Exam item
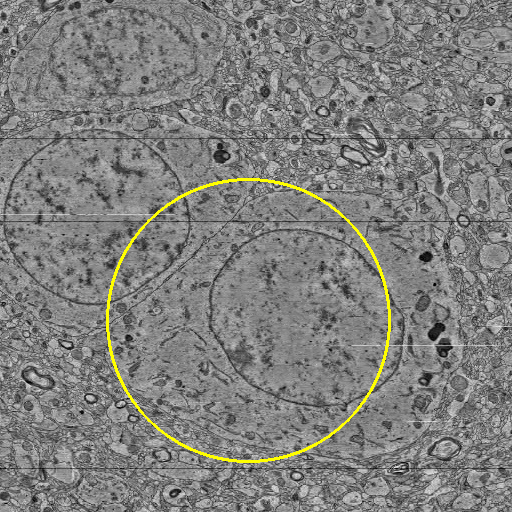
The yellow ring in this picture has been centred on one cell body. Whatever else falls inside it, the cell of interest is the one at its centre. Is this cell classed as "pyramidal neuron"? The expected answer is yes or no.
yes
